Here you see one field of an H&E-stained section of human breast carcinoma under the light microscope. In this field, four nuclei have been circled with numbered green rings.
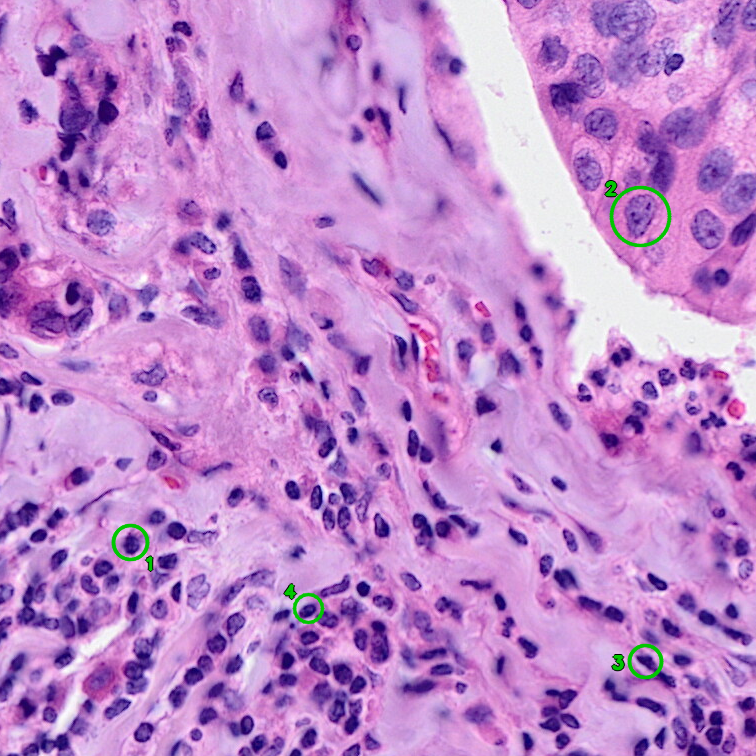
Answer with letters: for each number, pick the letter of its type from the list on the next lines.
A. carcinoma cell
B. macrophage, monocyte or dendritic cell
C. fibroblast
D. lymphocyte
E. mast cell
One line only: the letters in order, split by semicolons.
D; A; D; D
